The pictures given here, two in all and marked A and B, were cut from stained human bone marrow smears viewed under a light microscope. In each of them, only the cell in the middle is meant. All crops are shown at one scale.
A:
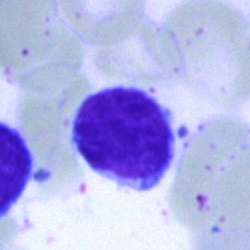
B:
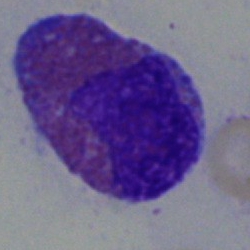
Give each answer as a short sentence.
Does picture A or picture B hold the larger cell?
Larger is the cell in picture B, at roughly 3 times the area of the other.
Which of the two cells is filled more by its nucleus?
In picture A the nucleus takes up the larger part of its cell.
